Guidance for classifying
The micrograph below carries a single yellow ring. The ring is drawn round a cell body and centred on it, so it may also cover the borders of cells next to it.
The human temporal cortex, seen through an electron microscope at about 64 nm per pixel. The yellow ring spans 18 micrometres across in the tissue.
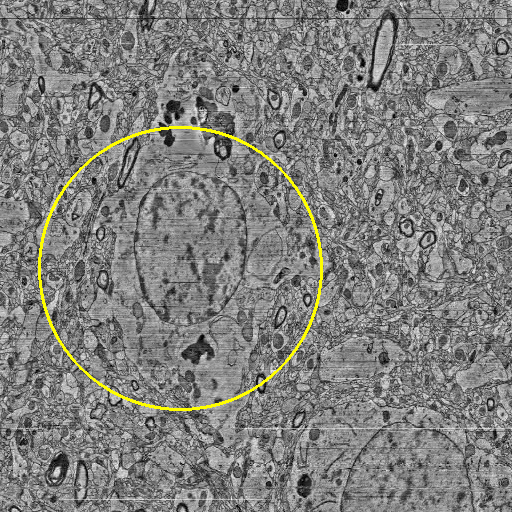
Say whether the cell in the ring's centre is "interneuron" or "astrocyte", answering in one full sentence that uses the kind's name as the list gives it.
Within the yellow ring, an astrocyte is the cell whose body sits at the centre.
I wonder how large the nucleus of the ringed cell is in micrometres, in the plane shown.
The ringed cell's nucleus measures approximately 10 by 7 micrometres in this plane.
